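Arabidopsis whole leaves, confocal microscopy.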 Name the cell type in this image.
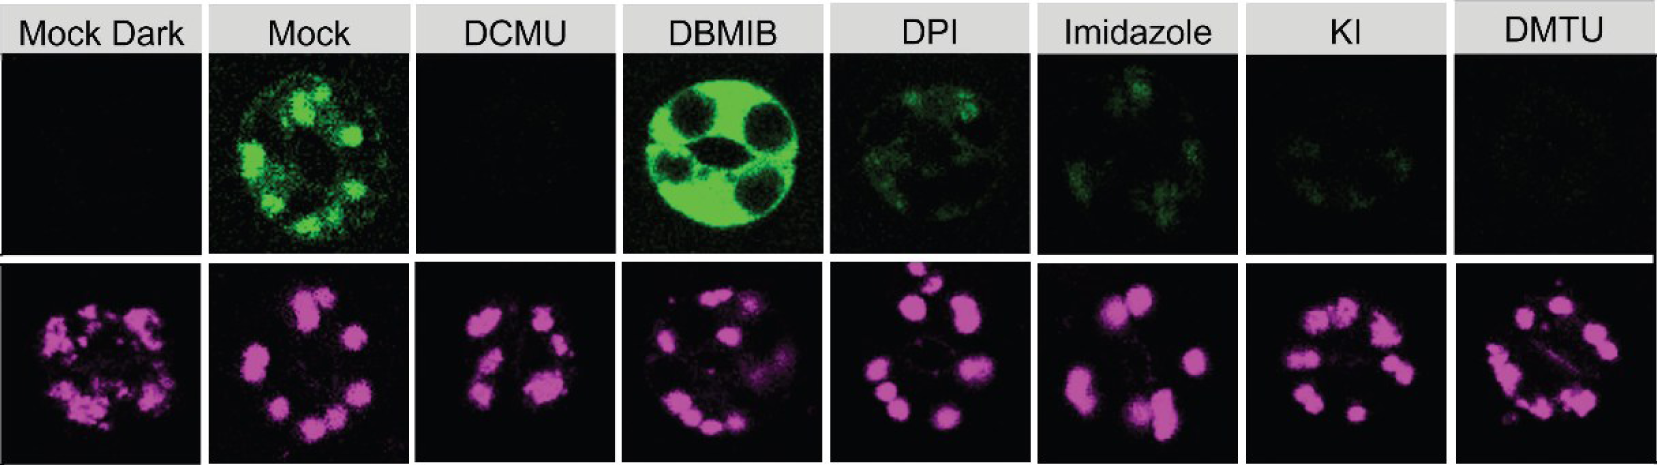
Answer: guard cells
